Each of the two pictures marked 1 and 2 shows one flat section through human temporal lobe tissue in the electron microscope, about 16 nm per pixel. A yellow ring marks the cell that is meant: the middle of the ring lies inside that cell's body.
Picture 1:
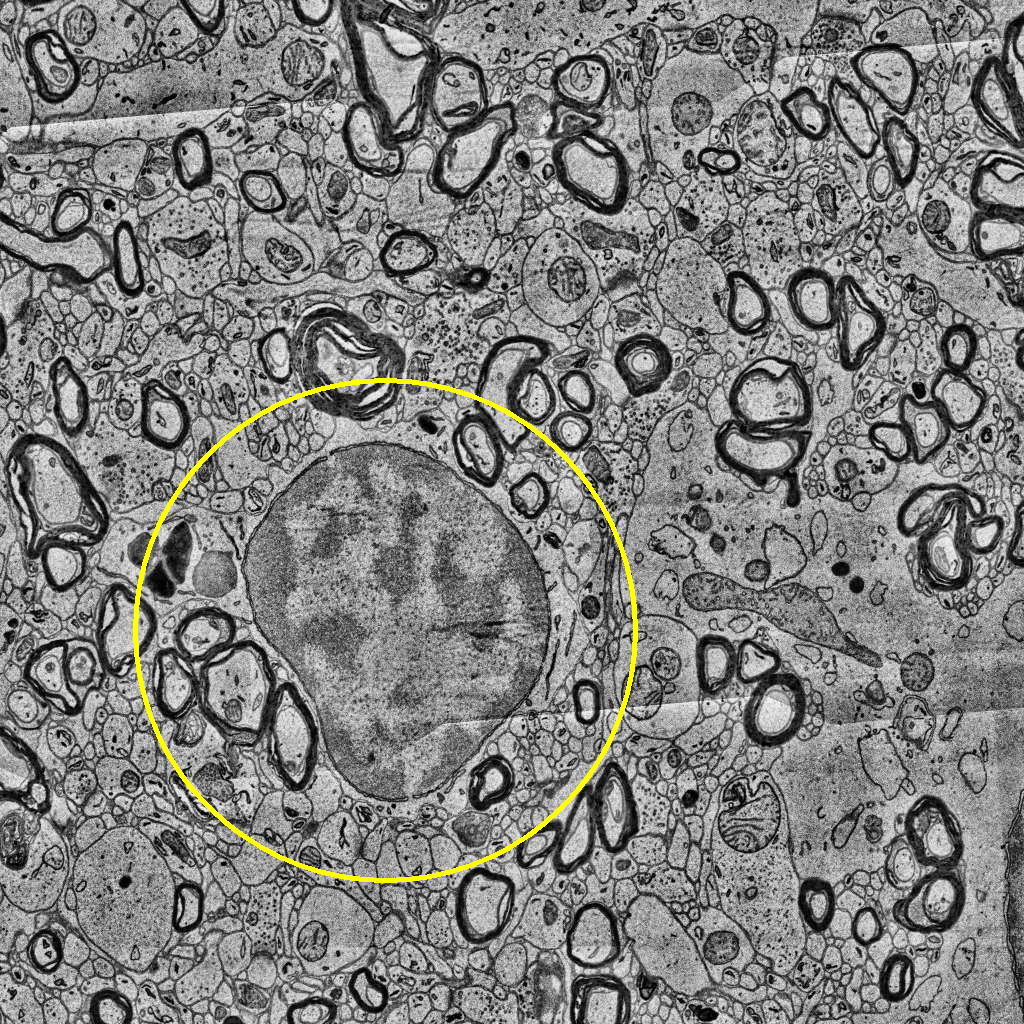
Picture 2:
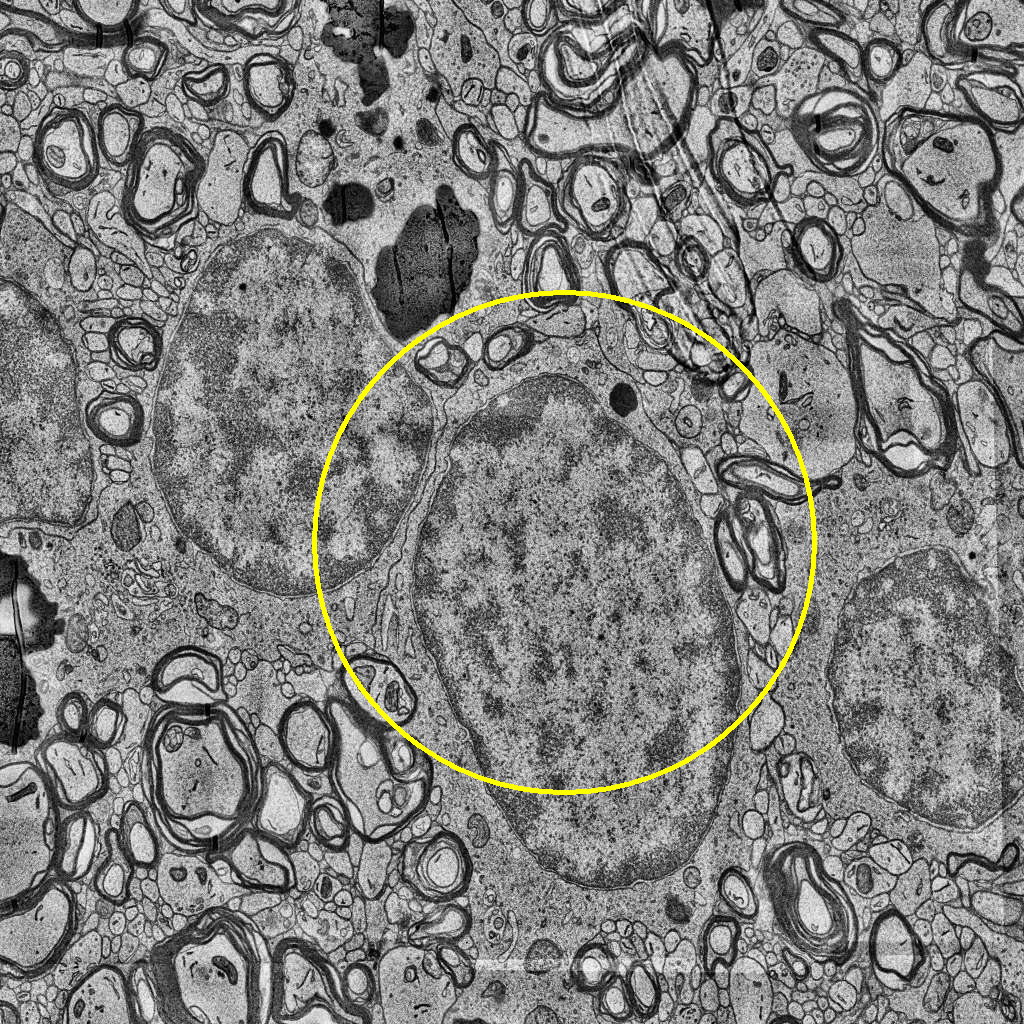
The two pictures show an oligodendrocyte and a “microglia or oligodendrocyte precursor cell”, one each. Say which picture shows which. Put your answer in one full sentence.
Picture 1 is of a “microglia or oligodendrocyte precursor cell”, and picture 2 is of an oligodendrocyte.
